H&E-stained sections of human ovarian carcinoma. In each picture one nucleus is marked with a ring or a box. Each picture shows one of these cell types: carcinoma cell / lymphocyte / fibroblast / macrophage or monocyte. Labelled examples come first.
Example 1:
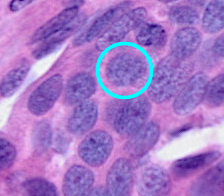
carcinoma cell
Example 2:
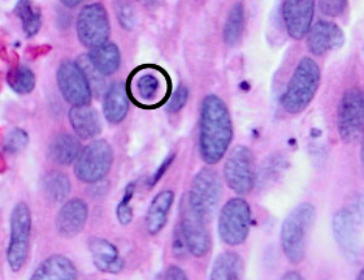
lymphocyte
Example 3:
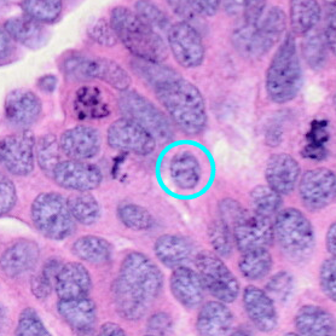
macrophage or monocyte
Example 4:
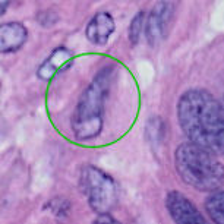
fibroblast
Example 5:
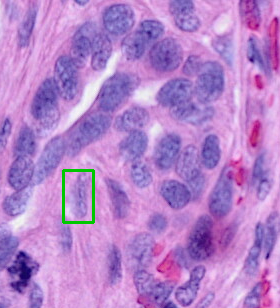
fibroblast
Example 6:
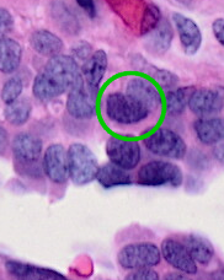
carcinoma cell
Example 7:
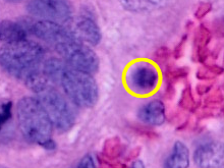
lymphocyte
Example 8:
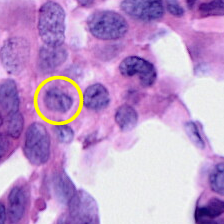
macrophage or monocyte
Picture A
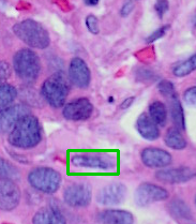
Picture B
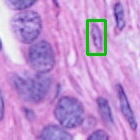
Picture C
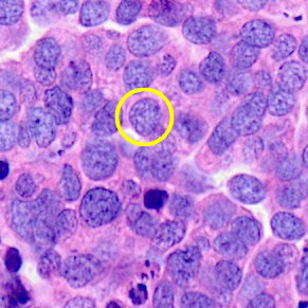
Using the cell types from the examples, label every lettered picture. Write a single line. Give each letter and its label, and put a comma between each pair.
A fibroblast, B fibroblast, C carcinoma cell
